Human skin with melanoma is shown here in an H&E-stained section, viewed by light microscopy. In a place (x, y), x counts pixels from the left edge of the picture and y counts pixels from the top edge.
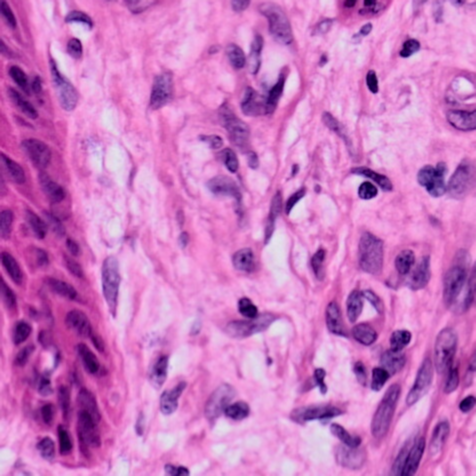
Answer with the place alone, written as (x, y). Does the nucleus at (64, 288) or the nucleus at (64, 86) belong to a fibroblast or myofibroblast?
(64, 86)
